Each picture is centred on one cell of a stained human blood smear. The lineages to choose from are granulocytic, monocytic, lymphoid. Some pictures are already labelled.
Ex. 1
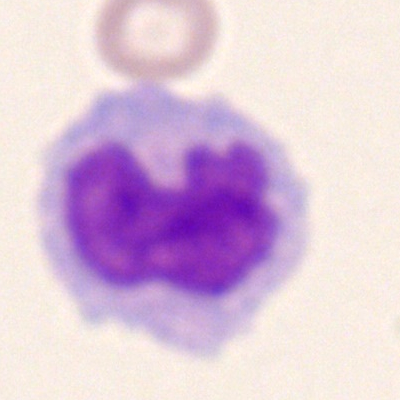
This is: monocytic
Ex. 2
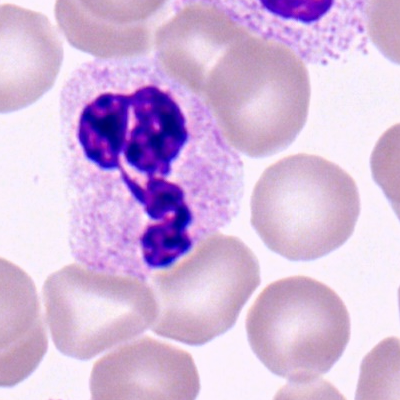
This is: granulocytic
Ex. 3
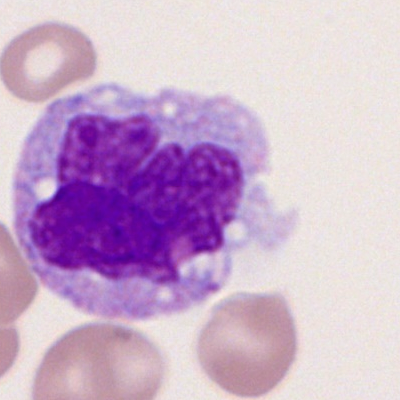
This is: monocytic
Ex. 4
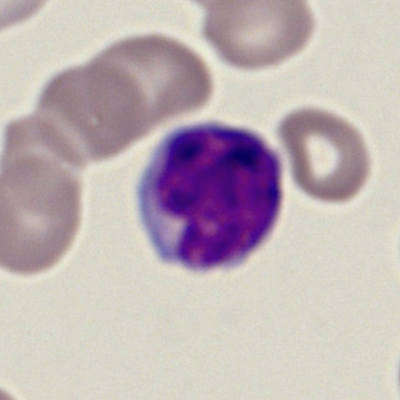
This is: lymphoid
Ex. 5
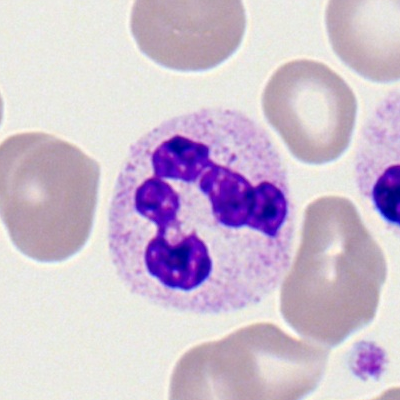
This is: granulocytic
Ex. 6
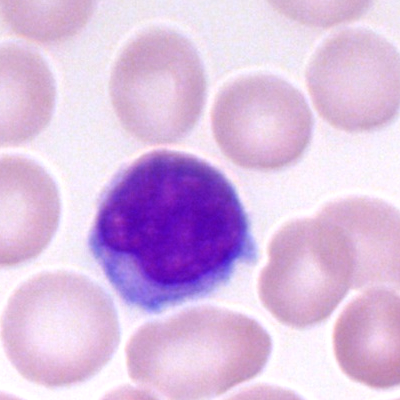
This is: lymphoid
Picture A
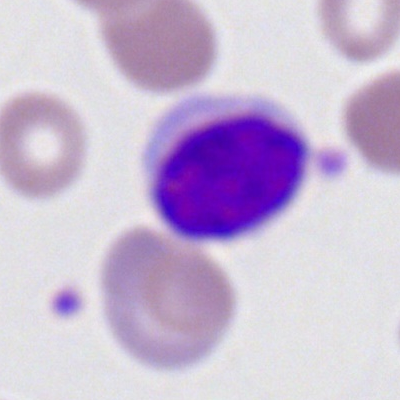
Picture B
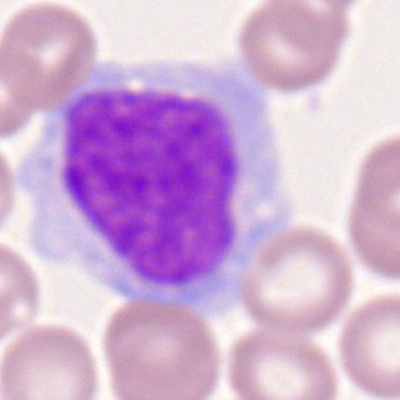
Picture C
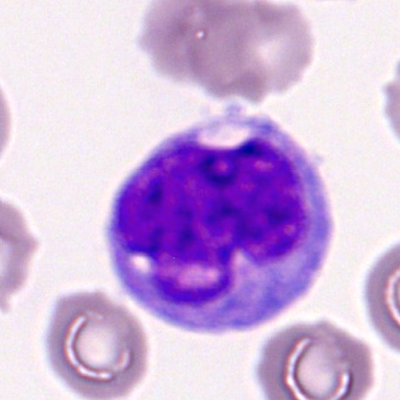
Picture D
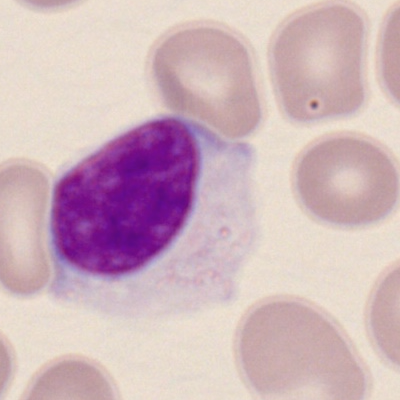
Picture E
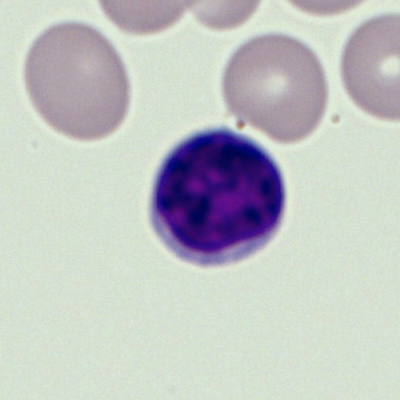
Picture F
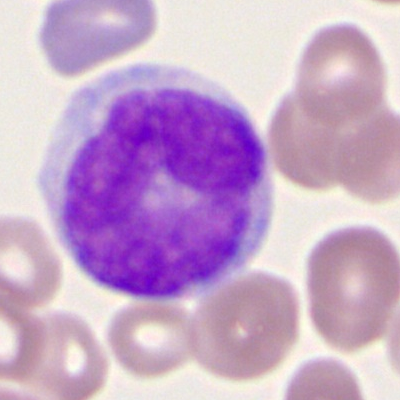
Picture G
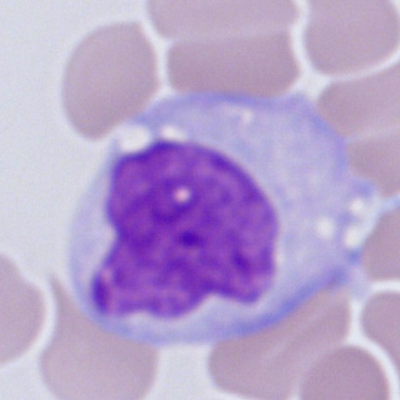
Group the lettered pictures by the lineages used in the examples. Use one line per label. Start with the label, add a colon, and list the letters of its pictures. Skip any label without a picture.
monocytic: B, C, F, G
lymphoid: A, D, E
